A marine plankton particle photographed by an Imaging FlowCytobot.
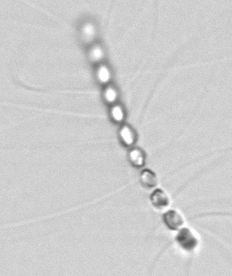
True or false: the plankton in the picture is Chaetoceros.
True.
